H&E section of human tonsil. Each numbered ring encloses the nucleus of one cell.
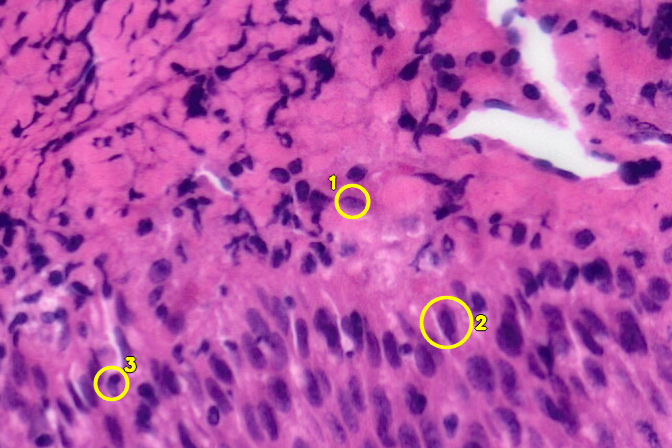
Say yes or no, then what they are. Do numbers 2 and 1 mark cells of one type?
No, sorry, cell 2 is a squamous epithelial cell and cell 1 is an endothelial cell.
